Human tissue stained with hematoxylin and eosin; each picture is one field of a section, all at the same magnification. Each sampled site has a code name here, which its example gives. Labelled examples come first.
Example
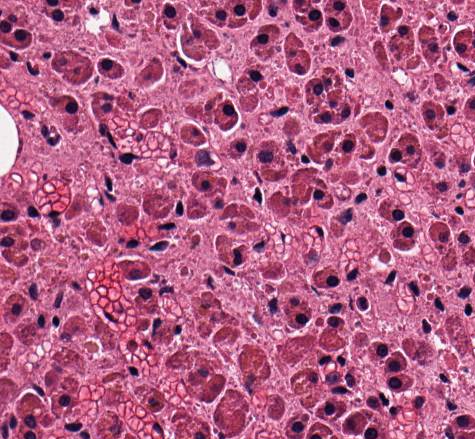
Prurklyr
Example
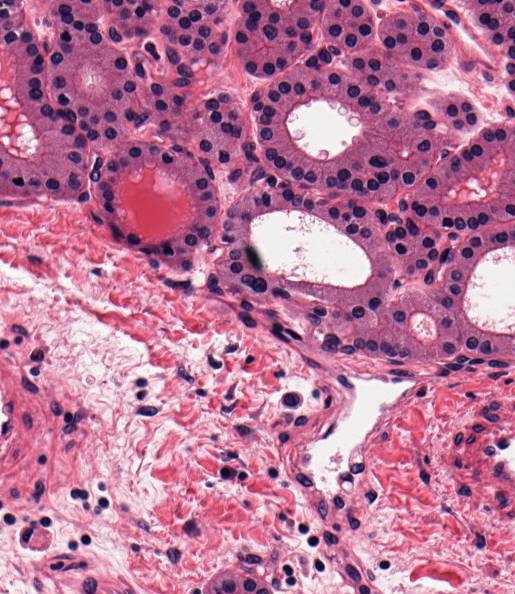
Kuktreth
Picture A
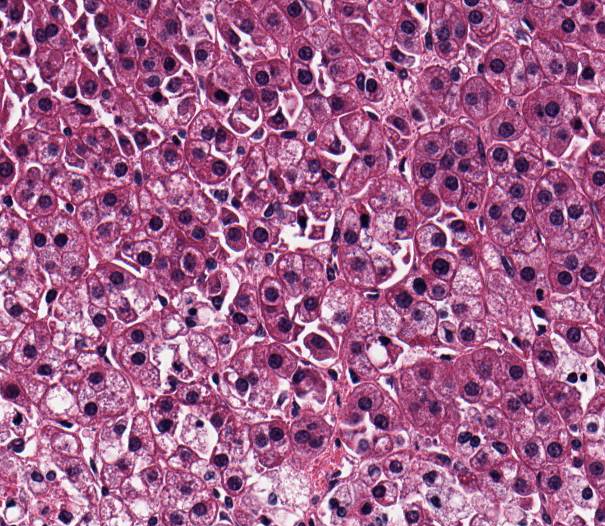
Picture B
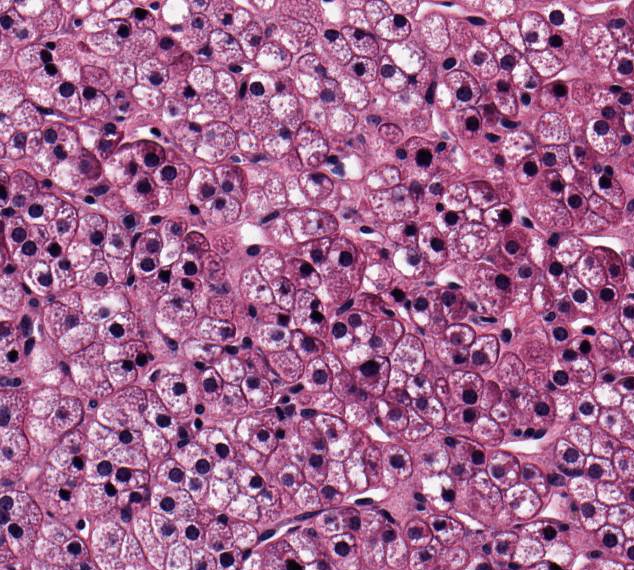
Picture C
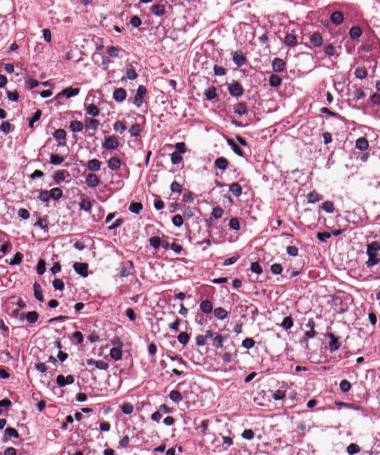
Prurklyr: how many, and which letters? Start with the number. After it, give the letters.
3: A, B, C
